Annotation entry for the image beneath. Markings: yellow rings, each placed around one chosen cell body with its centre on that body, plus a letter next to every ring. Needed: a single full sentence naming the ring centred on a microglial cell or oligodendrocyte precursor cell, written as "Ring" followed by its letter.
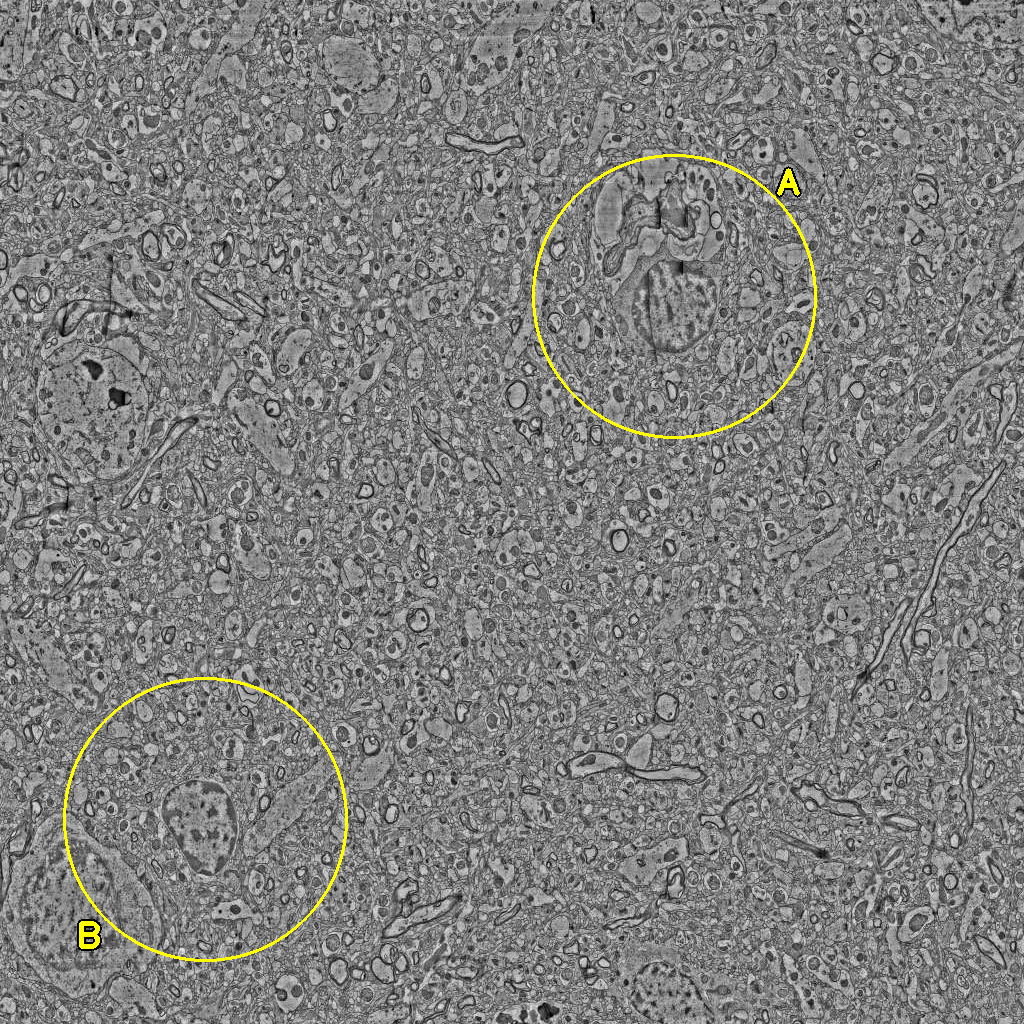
The image shows the cell in question at the centre of Ring B.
